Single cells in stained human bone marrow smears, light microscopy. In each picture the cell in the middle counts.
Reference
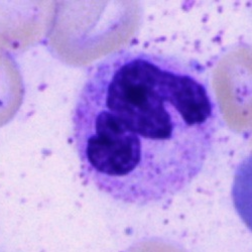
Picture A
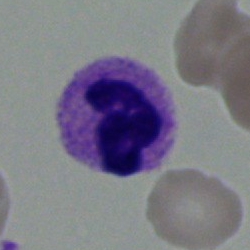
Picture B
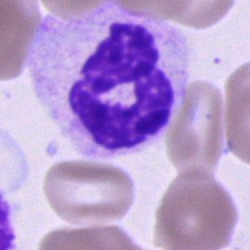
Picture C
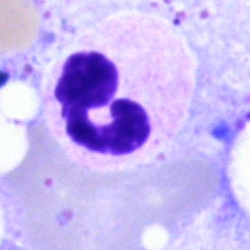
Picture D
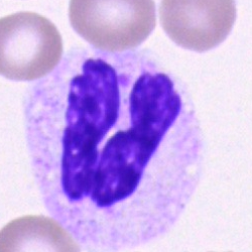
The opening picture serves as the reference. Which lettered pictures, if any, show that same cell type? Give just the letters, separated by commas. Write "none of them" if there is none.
A, B, C, D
